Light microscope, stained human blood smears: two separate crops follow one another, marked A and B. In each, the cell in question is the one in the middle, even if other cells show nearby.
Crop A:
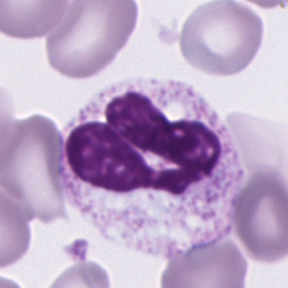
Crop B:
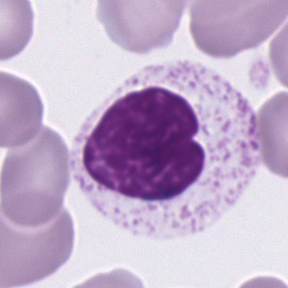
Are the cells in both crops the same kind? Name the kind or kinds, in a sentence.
Yes, as shown in both crops, the central cells are segmented neutrophils.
